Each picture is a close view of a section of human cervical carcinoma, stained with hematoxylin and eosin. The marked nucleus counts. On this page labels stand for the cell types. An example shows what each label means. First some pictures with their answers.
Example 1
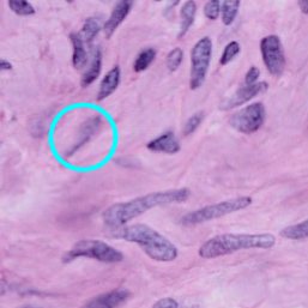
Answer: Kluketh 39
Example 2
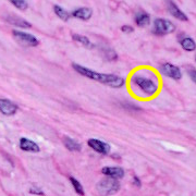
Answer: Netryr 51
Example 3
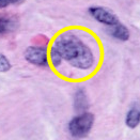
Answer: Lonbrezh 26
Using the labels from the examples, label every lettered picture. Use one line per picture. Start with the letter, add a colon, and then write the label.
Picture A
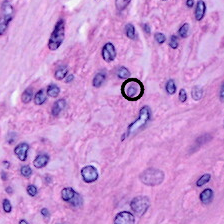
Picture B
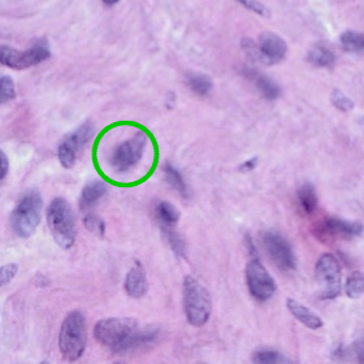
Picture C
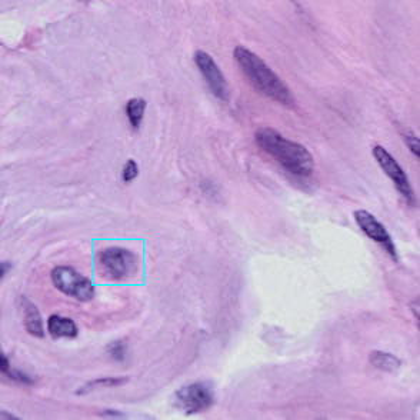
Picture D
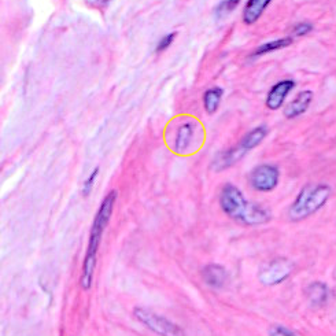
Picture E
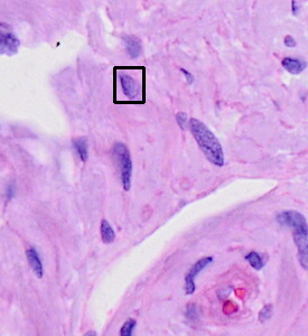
A: Netryr 51
B: Kluketh 39
C: Lonbrezh 26
D: Netryr 51
E: Kluketh 39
